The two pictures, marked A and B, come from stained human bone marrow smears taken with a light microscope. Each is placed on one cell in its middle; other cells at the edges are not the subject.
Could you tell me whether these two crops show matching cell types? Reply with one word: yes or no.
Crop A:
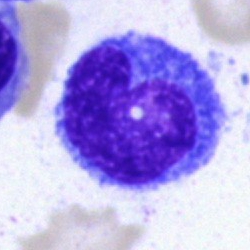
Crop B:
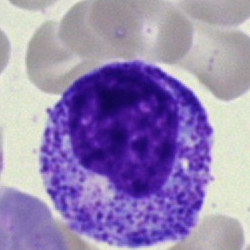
no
